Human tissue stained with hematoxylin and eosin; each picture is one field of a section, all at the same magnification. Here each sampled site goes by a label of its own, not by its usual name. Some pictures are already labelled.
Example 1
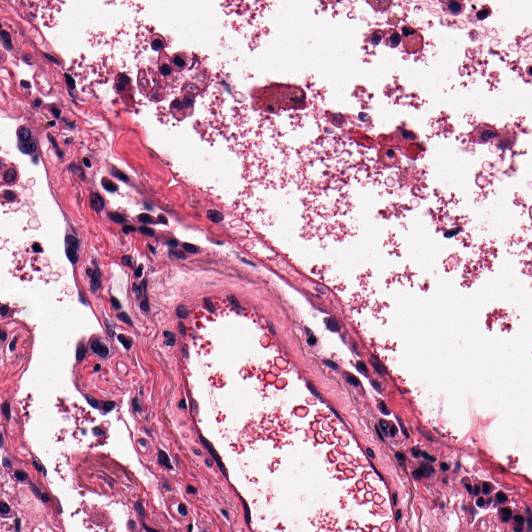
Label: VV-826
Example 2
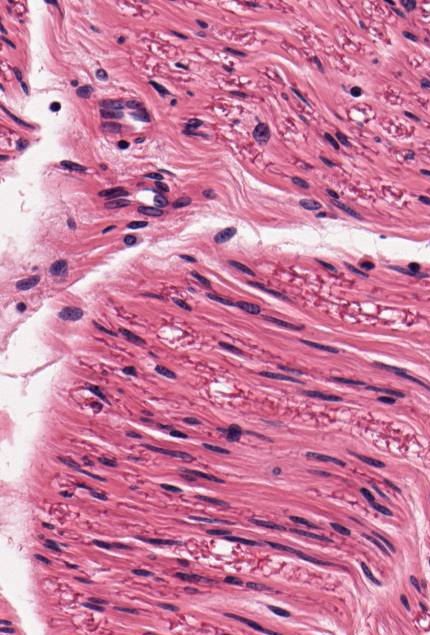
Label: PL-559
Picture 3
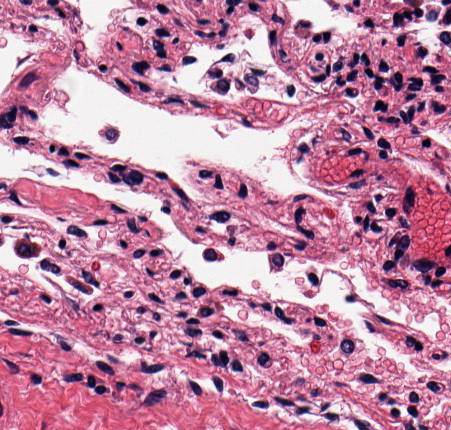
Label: VV-826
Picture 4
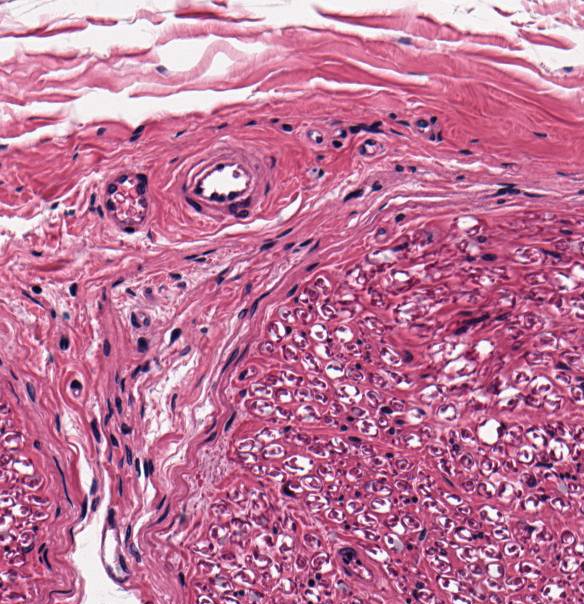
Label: PL-559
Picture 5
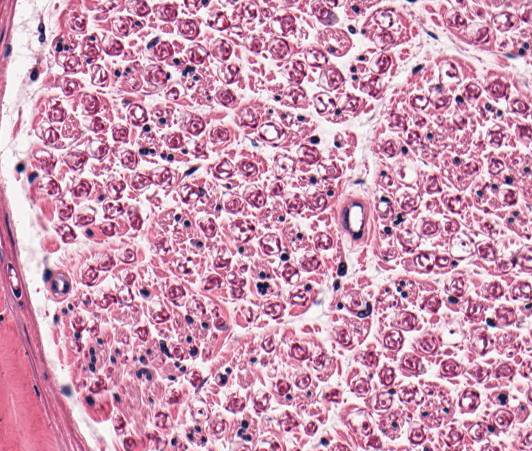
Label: PL-559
